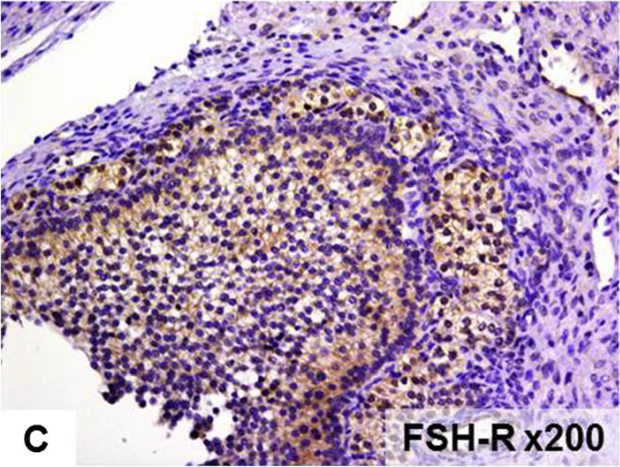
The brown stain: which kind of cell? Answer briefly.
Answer: Follicular cells.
